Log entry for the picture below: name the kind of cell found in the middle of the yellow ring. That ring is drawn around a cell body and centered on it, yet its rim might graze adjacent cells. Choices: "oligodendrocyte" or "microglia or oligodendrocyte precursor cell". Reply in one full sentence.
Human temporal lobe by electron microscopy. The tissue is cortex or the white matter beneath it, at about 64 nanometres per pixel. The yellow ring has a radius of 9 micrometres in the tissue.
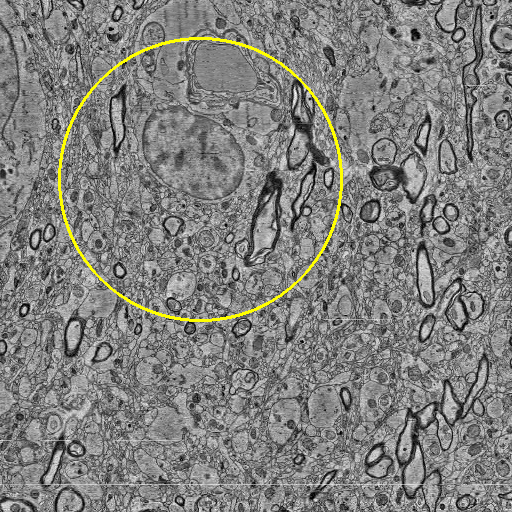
The cell in the middle of the yellow ring in this picture is an oligodendrocyte.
